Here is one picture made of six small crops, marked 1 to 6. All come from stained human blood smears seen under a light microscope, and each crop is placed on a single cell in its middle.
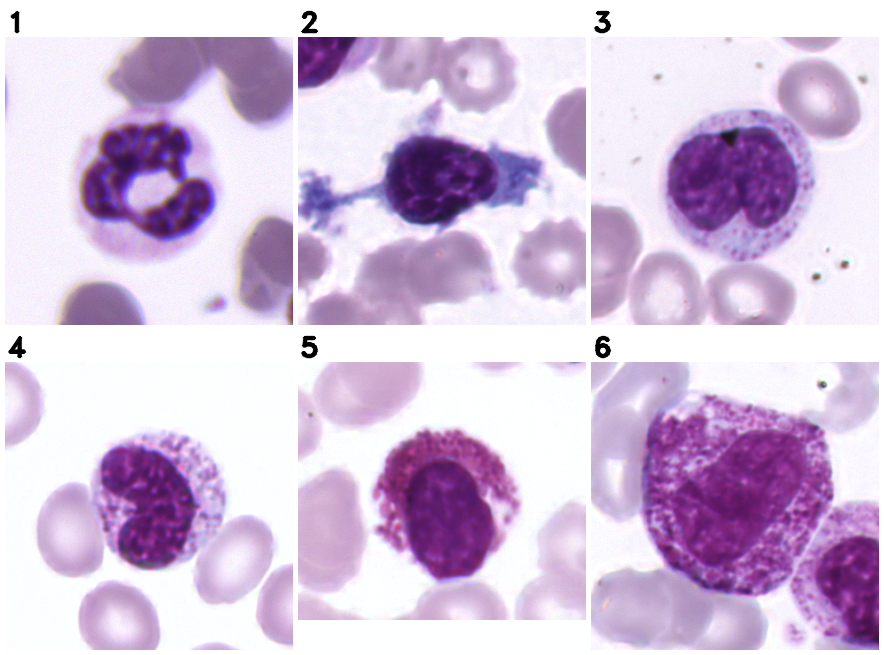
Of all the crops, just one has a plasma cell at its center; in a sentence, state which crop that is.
Crop 2 is the one in the set with a plasma cell at the center.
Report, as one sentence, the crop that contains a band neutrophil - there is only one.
Crop 4 is the one in the set with a band neutrophil at the center.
